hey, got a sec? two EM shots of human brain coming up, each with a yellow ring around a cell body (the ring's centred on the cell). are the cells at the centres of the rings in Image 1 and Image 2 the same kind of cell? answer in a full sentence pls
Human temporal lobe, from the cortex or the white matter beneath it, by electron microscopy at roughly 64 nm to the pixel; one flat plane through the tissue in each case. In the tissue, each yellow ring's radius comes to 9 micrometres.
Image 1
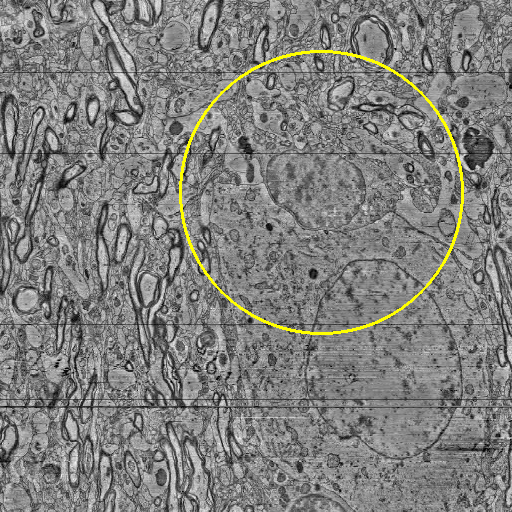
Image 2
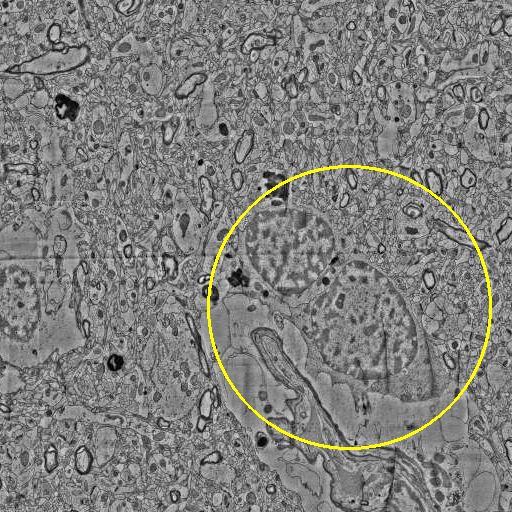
Yes, both are the same kind of cell.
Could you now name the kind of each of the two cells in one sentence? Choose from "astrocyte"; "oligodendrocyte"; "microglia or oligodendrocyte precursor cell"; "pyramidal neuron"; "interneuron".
The cell in the first picture is an oligodendrocyte, and so is the one in the second.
